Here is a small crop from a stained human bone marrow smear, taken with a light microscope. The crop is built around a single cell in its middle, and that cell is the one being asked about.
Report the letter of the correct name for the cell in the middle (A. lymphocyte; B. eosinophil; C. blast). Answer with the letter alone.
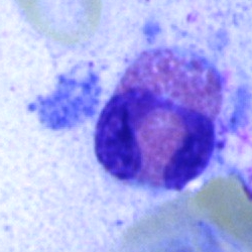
B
